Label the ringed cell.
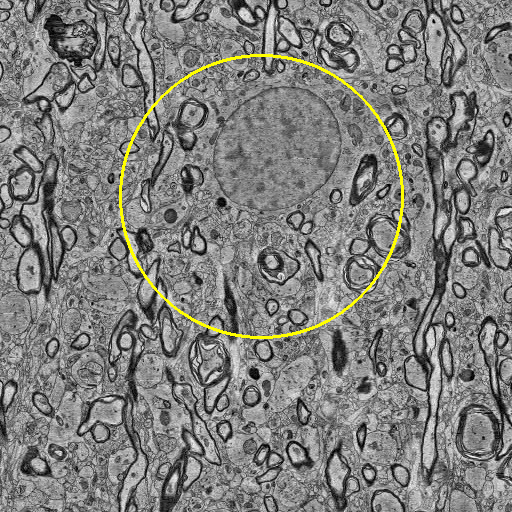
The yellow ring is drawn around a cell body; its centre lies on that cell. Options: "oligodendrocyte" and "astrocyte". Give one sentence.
The ringed cell is an oligodendrocyte.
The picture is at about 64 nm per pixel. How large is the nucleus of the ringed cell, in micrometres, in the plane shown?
About 8 micrometres across in this plane, for the nucleus.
